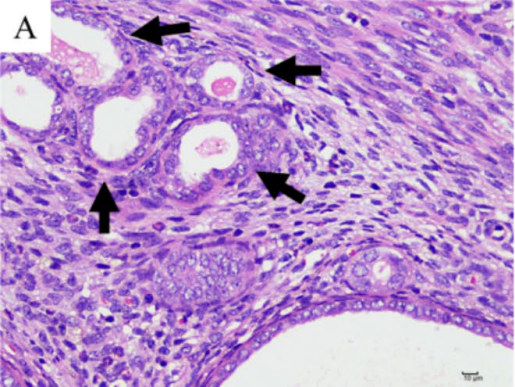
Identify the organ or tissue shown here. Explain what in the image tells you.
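Round tubular glands lined by a single layer of cuboidal to columnar epithelium. Glands lie in a cellular stroma of spindle-shaped cells. A large lumen at the bottom is lined by a surface epithelium. The answer: uterus.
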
